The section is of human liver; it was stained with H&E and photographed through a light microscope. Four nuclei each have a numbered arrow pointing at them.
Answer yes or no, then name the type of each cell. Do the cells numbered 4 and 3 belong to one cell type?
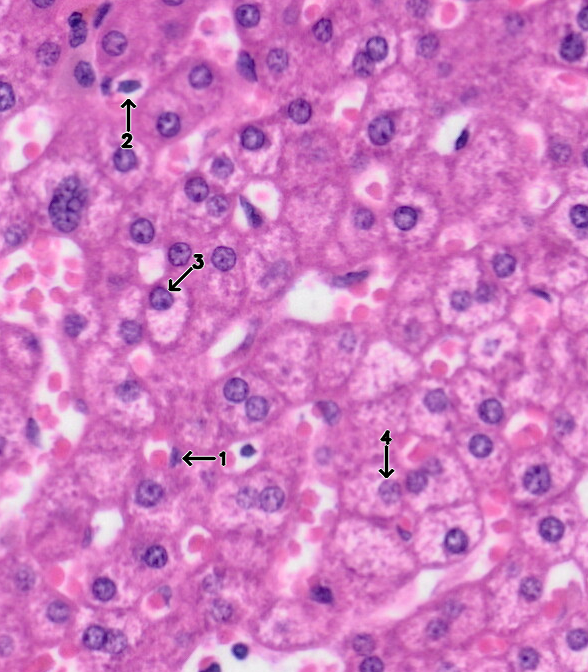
Yes, the two numbered cells 4 and 3 are both hepatocytes.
